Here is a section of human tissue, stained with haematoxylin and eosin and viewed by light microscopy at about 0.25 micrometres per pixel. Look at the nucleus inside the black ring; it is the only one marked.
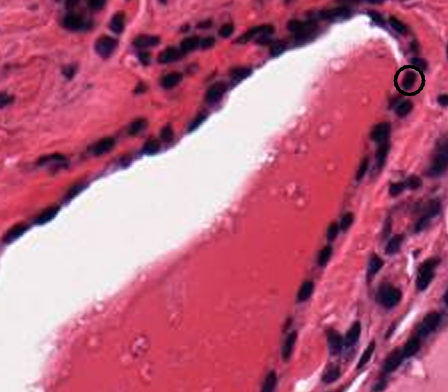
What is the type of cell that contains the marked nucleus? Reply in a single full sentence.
The mark indicates the nucleus of a thyroid follicular cell.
